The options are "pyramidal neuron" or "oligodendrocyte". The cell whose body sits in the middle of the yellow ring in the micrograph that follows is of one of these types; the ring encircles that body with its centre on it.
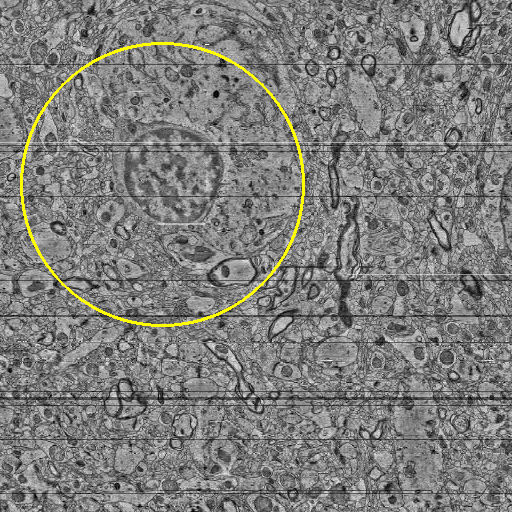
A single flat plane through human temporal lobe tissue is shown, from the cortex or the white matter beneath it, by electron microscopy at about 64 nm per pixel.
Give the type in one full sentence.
Going by the micrograph, the cell centred in the yellow ring is an oligodendrocyte.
